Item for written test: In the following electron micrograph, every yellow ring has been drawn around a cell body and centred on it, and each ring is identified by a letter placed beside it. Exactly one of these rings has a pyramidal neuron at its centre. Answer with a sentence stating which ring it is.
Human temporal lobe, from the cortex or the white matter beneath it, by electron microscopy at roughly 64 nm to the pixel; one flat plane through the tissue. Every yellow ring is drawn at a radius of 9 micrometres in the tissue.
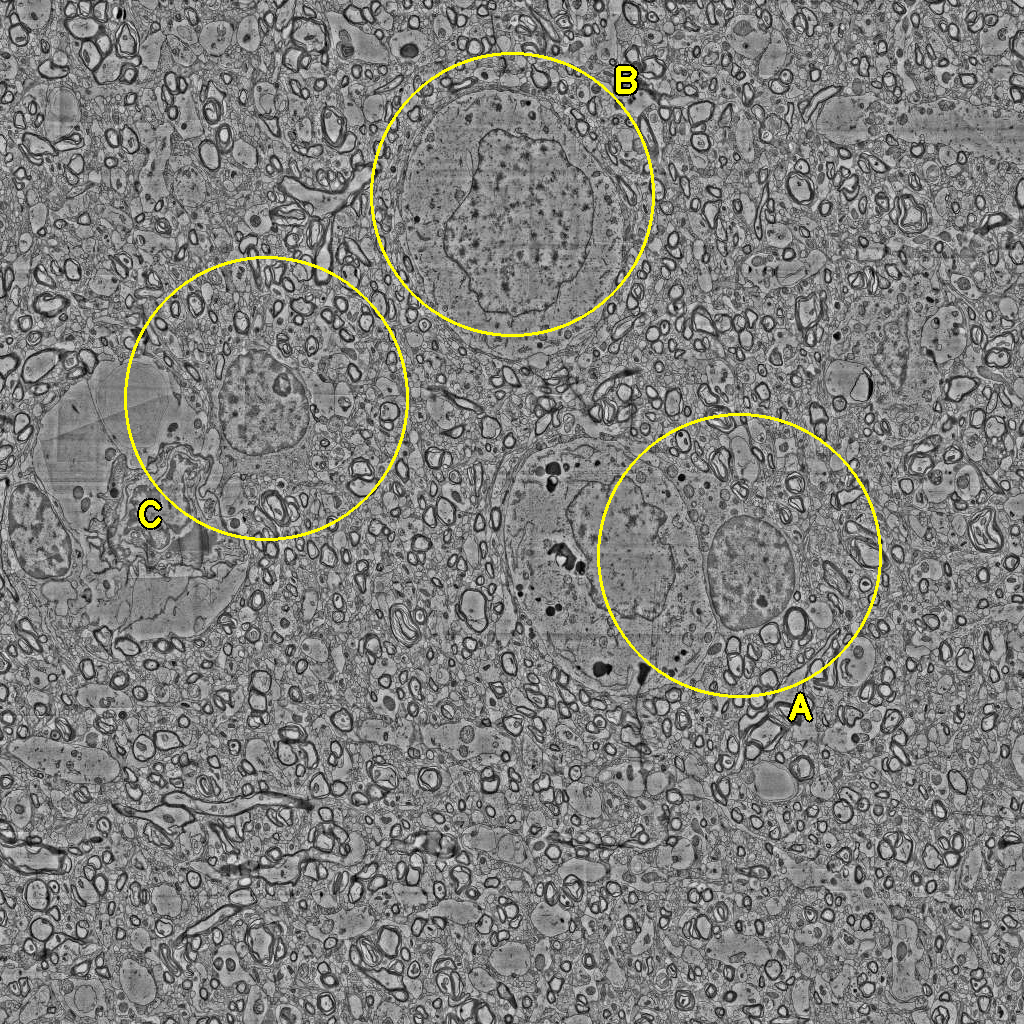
It is ring B.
